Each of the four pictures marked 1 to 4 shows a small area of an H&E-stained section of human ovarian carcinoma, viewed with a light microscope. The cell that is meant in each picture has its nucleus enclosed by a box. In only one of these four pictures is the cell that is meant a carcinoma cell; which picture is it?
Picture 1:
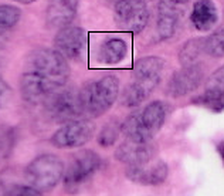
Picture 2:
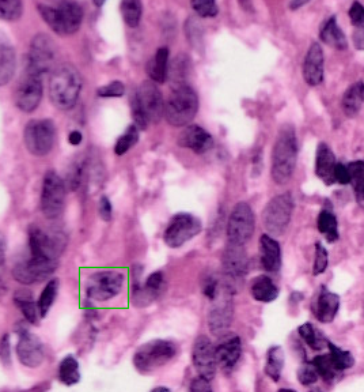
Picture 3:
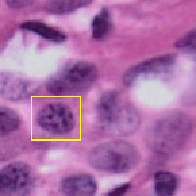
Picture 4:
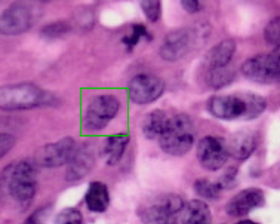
4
